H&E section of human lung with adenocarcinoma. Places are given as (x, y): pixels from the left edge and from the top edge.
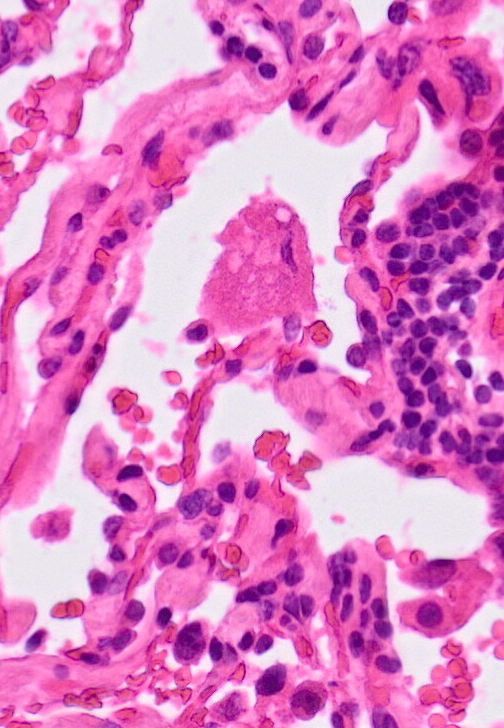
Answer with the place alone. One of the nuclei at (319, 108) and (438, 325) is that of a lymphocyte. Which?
(438, 325)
